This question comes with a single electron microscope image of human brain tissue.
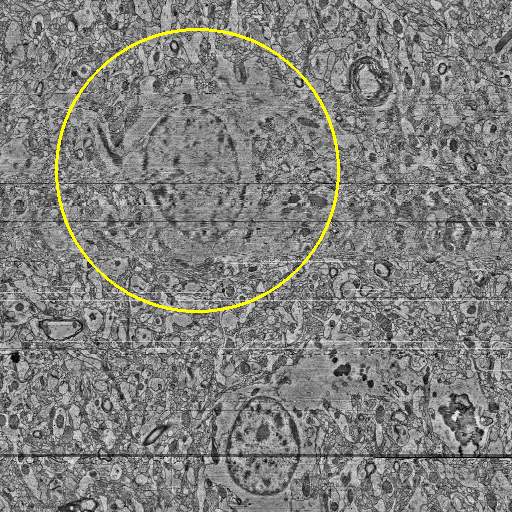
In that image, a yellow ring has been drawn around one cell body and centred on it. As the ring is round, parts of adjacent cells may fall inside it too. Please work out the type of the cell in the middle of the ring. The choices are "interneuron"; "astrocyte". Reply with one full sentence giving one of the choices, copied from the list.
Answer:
Of the choices, an astrocyte is the cell sitting in the middle of the ring.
